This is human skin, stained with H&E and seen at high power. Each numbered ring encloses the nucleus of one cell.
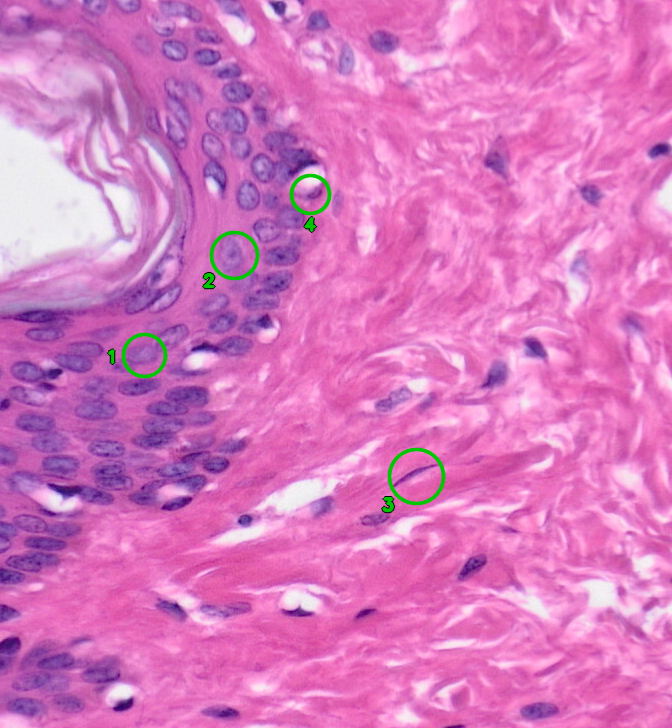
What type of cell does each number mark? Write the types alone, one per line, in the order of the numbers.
suprabasal keratinocyte
suprabasal keratinocyte
fibroblast
basal keratinocyte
